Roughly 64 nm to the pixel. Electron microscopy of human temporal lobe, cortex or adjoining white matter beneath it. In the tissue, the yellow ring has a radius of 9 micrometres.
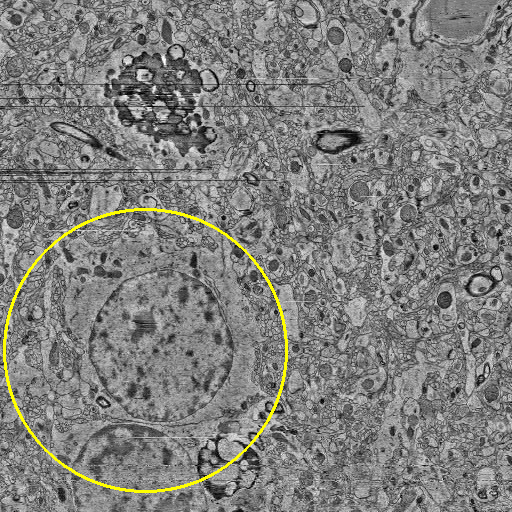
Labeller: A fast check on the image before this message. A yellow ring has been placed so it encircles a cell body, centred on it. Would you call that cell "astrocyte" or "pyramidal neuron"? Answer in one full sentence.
In this image, an astrocyte is the cell on which the yellow ring is centred.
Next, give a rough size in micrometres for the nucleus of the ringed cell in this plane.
In this plane the nucleus is about 10 micrometres across.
